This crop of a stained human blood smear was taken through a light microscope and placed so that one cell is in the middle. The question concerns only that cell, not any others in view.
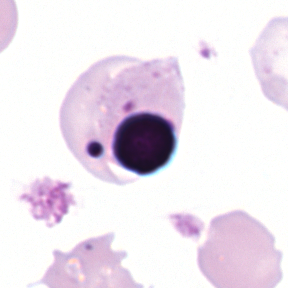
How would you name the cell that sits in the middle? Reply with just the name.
normoblast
